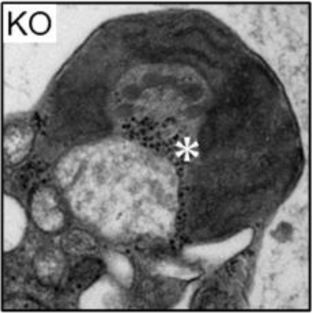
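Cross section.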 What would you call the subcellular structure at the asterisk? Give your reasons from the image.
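Many small black dots are scattered near the asterisk. The dots are not enclosed by a membrane. On this evidence: electron-dense granules.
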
